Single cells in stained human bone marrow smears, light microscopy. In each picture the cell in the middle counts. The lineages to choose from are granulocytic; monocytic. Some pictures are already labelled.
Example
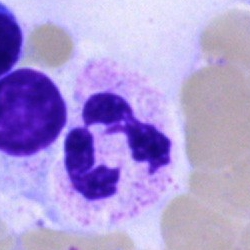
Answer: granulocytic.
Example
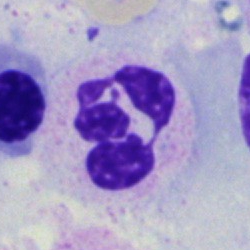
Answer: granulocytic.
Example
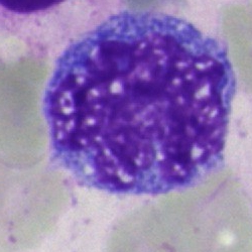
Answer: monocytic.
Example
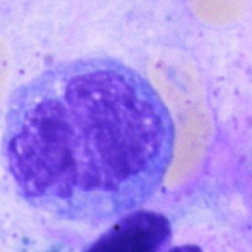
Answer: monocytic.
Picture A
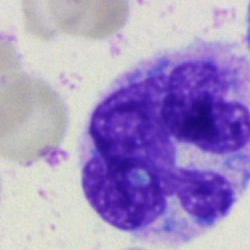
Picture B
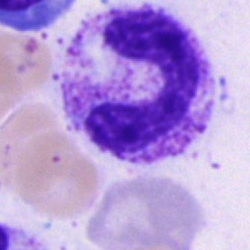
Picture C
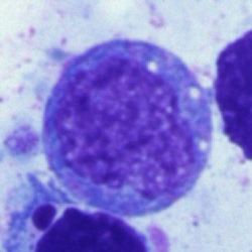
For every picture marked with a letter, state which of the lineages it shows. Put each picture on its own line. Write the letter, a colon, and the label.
A: monocytic.
B: granulocytic.
C: granulocytic.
